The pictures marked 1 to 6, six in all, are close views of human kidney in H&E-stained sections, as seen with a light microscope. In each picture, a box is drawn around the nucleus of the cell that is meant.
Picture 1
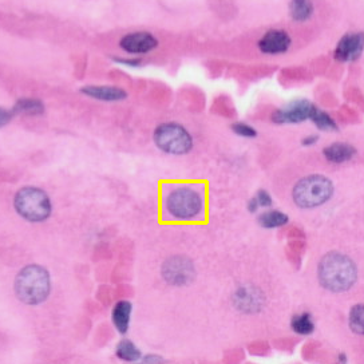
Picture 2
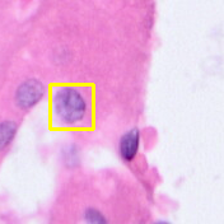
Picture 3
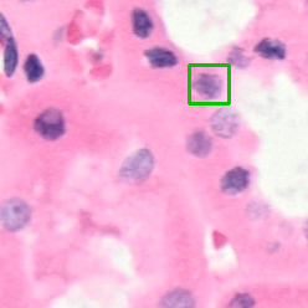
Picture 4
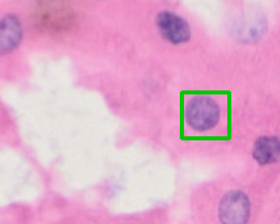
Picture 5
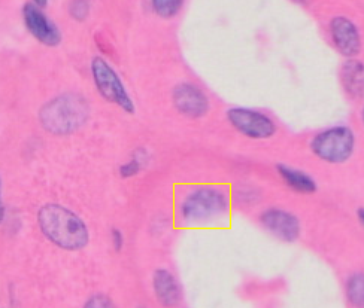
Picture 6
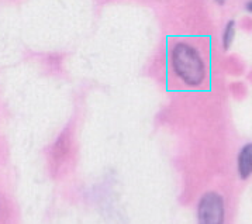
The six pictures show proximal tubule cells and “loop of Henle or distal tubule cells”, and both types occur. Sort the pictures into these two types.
1: proximal tubule cell
2: loop of Henle or distal tubule cell
3: loop of Henle or distal tubule cell
4: proximal tubule cell
5: loop of Henle or distal tubule cell
6: proximal tubule cell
